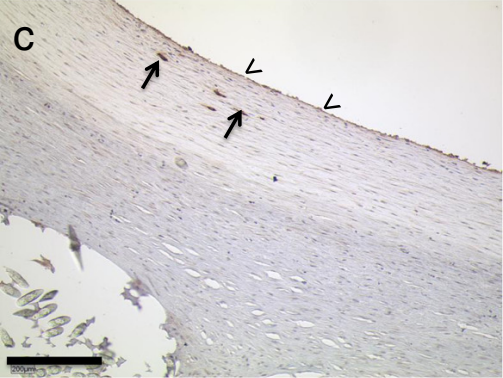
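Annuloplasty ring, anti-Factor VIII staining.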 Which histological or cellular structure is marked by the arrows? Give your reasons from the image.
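The arrows point to small brown-stained profiles within the tissue. These lie just beneath the surface lining. The answer: subendocardial vessels.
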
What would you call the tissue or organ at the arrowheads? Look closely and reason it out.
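Endothelium. A thin brown-stained cell layer lines the free surface of the tissue. The arrowheads sit on this surface lining.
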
